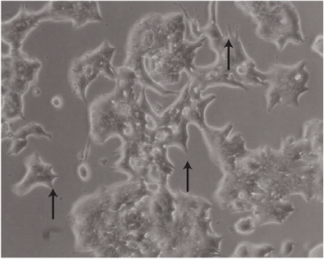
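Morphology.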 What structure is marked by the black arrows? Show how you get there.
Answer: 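The arrows point to cells with sharp, tapering projections. These cells lie at the edges of the clusters and spread onto the dish. So: Pointed formations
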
